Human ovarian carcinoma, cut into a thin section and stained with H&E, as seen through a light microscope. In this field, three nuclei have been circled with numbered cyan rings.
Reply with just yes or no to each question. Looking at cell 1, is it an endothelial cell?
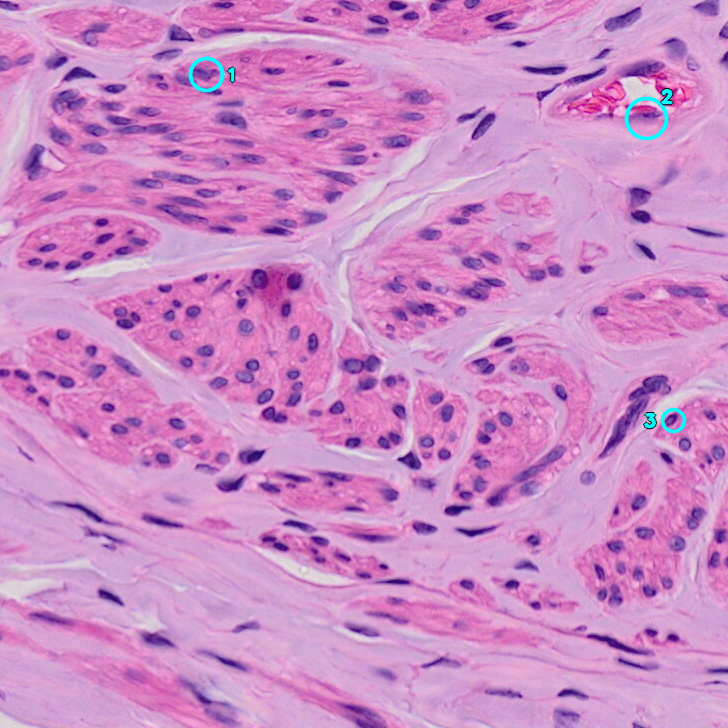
no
